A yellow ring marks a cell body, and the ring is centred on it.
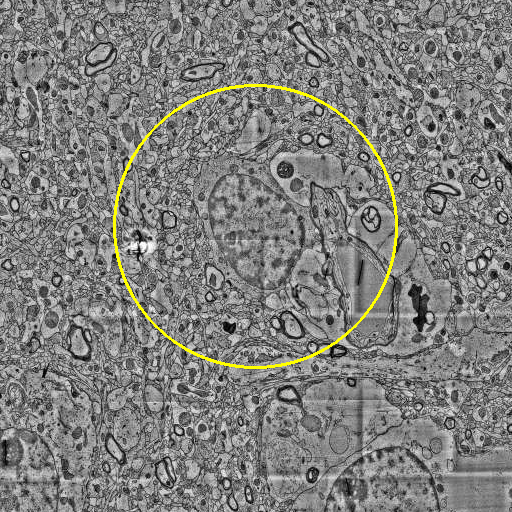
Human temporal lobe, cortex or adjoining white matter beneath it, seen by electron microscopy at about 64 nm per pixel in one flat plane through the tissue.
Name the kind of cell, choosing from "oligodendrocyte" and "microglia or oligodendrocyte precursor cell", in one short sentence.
The marked cell body belongs to an oligodendrocyte.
